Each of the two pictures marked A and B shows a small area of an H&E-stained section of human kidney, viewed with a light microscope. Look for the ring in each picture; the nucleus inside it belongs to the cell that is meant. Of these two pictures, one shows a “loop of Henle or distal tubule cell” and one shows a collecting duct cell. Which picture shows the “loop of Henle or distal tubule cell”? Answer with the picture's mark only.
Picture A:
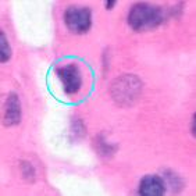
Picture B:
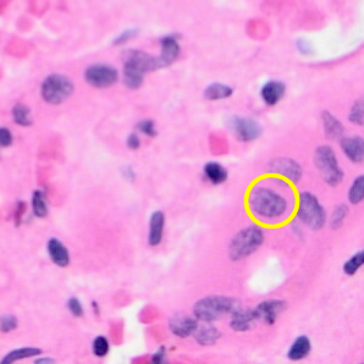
A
